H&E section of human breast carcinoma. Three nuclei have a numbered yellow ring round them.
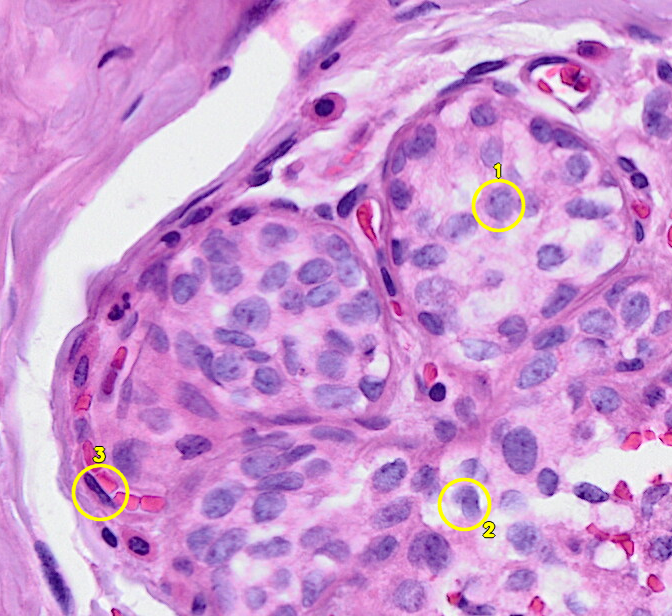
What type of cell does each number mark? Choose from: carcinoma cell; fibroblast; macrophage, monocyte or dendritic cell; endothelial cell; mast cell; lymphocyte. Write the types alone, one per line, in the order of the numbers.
carcinoma cell
carcinoma cell
endothelial cell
